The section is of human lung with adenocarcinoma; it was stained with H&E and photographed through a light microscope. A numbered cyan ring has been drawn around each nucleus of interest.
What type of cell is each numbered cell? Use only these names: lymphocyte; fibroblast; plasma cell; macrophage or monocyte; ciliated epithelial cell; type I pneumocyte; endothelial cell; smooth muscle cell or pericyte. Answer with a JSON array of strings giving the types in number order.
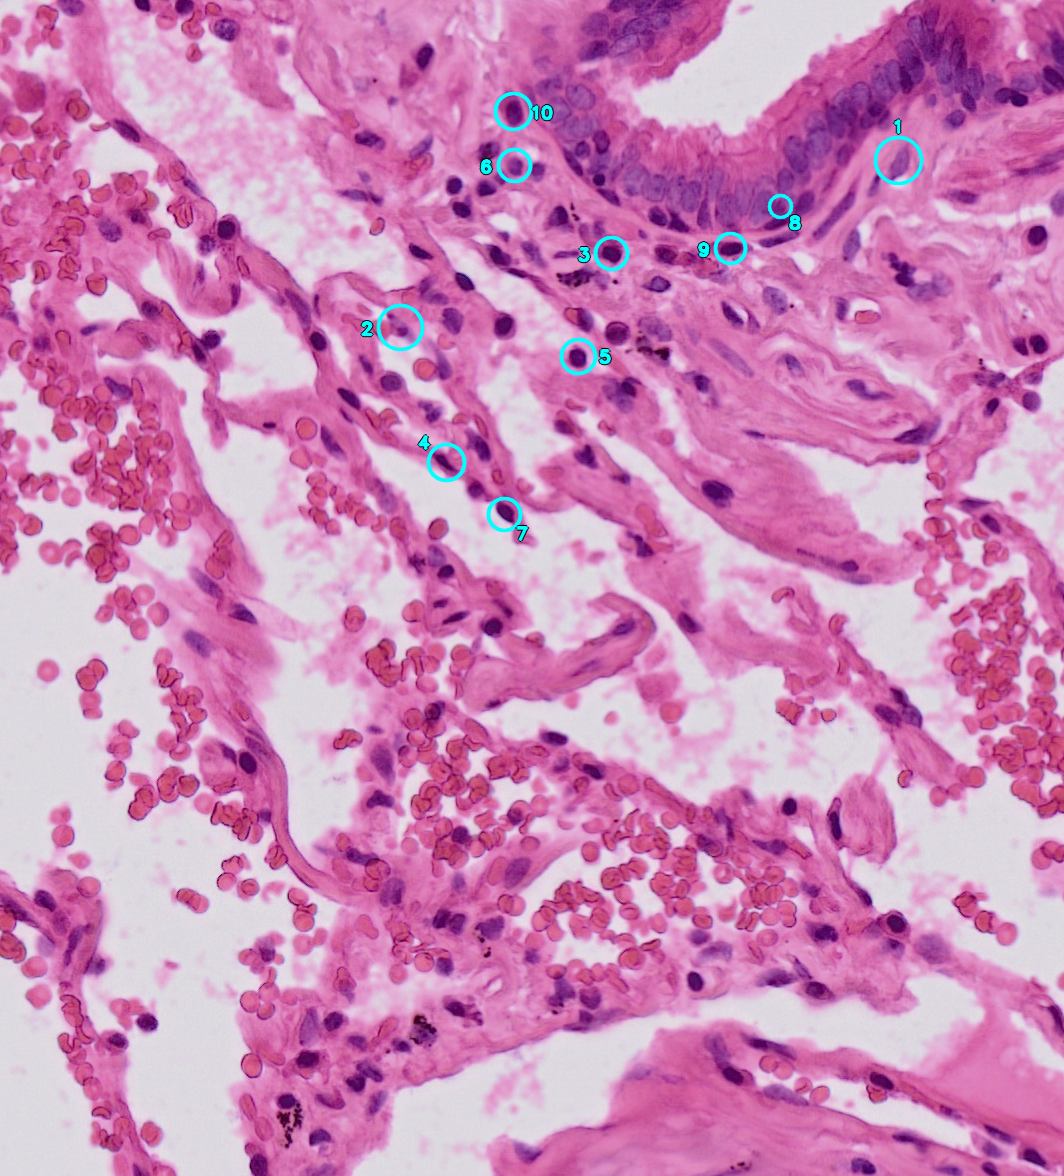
["fibroblast", "type I pneumocyte", "plasma cell", "endothelial cell", "lymphocyte", "lymphocyte", "type I pneumocyte", "ciliated epithelial cell", "plasma cell", "plasma cell"]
